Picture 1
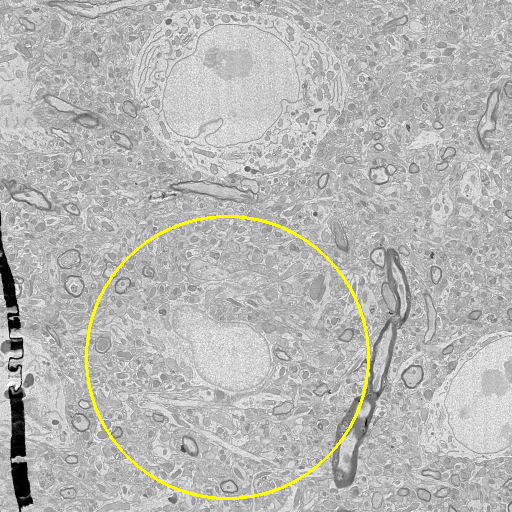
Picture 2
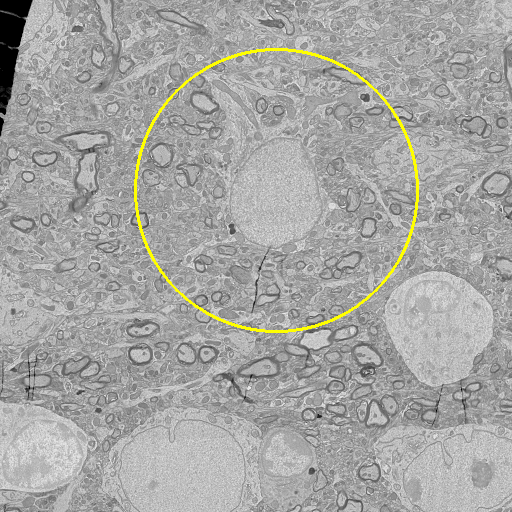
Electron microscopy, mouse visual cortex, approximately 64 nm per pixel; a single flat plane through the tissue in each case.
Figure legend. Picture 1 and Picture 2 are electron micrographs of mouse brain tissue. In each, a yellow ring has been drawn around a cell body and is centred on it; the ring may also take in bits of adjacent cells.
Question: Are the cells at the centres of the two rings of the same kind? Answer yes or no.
yes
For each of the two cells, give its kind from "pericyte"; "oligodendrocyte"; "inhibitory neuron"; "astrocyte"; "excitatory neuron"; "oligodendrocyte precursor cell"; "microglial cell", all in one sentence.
The first and the second cell are each an astrocyte.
